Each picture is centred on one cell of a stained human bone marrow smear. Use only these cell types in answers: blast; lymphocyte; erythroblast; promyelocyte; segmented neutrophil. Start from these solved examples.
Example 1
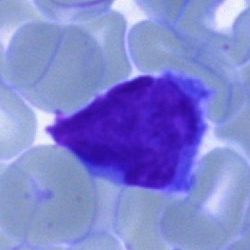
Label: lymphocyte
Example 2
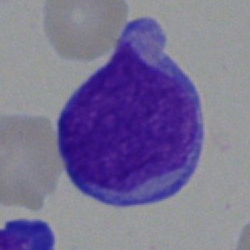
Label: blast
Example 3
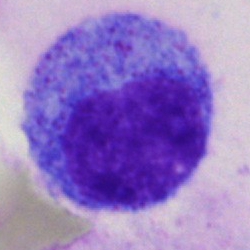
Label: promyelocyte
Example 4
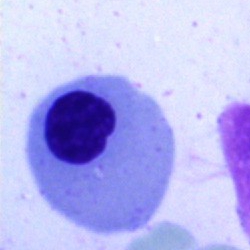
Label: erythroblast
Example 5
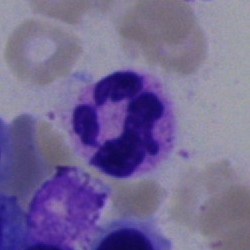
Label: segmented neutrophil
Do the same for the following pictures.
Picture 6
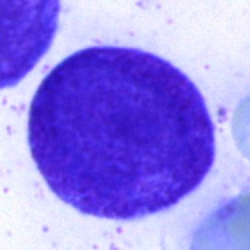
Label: promyelocyte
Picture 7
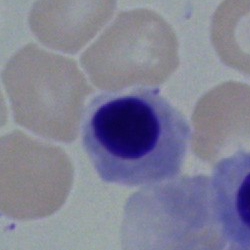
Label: erythroblast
